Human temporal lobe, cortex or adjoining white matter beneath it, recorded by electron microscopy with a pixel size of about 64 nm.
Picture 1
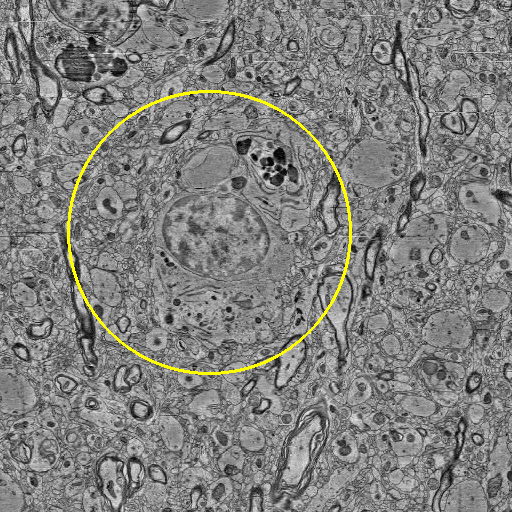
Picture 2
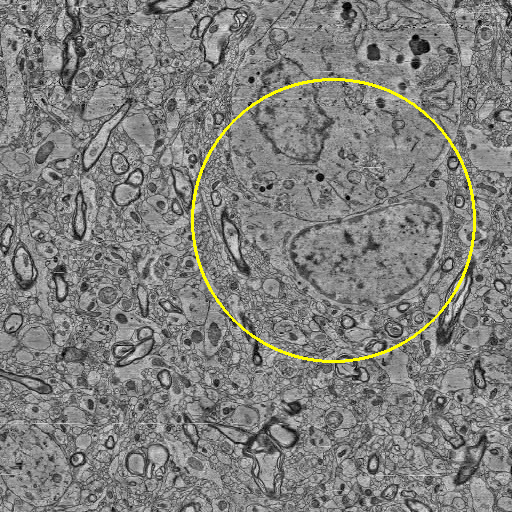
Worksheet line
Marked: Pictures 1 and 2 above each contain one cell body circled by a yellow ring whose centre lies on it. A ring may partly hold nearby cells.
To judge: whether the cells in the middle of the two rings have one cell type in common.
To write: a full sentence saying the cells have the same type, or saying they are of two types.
The cells in the middle of the rings in Picture 1 and Picture 2 are of two types.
